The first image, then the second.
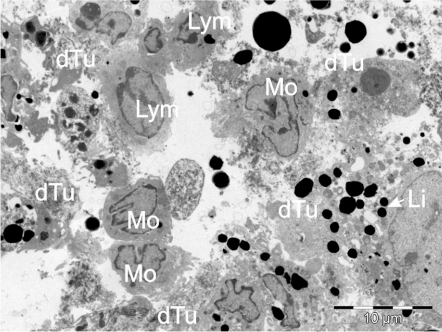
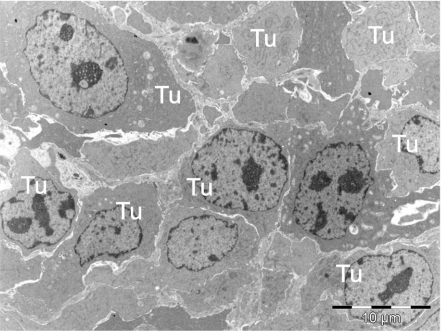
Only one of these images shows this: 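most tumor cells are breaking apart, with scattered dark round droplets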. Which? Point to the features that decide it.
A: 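First image: the field is full of fragmented, pale, disintegrating material with many dense black round droplets, and small round intact cells lie among it. Second image: large intact cells with oval nuclei and prominent nucleoli fill the field, closely packed, without debris. So: the first image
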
